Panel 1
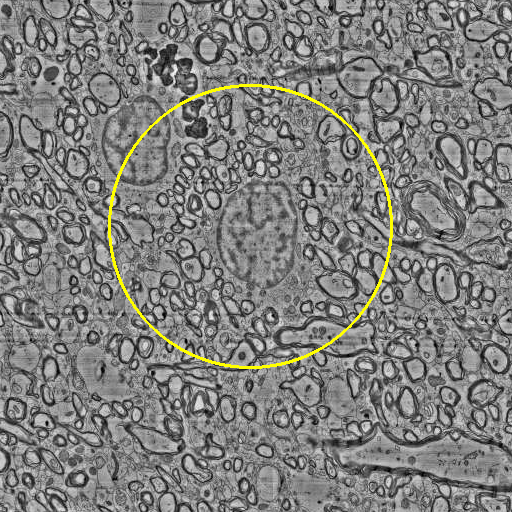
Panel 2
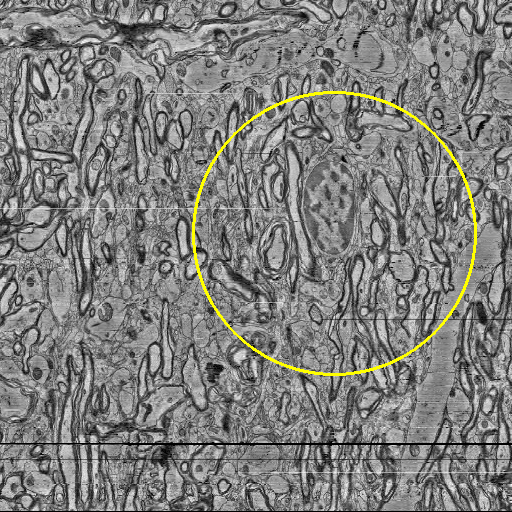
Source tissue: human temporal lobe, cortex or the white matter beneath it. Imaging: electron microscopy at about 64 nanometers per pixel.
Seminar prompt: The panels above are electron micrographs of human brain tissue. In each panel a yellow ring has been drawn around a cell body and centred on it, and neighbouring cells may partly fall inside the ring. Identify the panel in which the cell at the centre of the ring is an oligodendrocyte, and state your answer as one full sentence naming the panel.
Panel 1 has it at the centre of its ring.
